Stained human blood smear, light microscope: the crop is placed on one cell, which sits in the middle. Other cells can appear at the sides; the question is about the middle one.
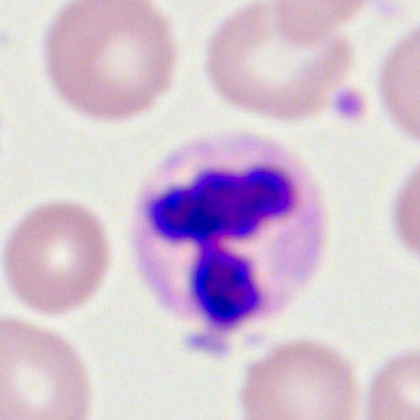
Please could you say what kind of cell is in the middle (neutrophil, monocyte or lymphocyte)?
neutrophil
